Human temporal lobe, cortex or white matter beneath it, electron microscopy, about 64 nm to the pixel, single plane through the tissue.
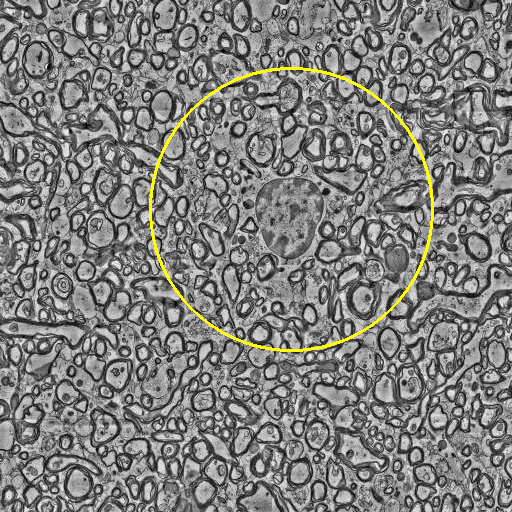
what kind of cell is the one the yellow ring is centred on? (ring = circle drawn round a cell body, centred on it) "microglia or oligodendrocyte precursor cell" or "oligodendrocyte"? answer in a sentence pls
The ring is drawn around a microglial cell or oligodendrocyte precursor cell.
